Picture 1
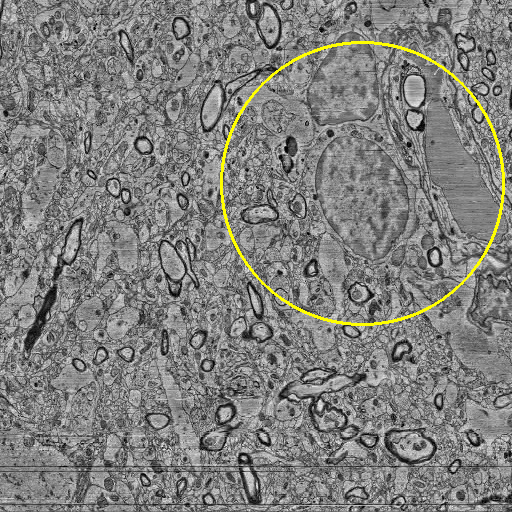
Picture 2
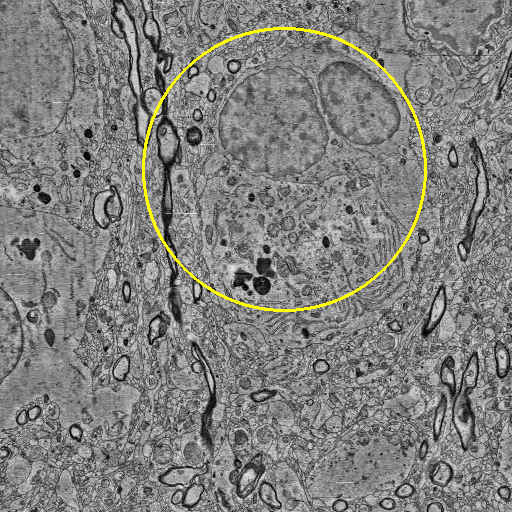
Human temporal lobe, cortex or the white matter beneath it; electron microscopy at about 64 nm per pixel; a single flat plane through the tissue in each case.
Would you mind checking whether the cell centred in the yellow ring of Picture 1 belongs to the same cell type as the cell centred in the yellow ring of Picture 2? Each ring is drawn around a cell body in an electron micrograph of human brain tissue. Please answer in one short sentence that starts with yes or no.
Yes, both cells are of the same type.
